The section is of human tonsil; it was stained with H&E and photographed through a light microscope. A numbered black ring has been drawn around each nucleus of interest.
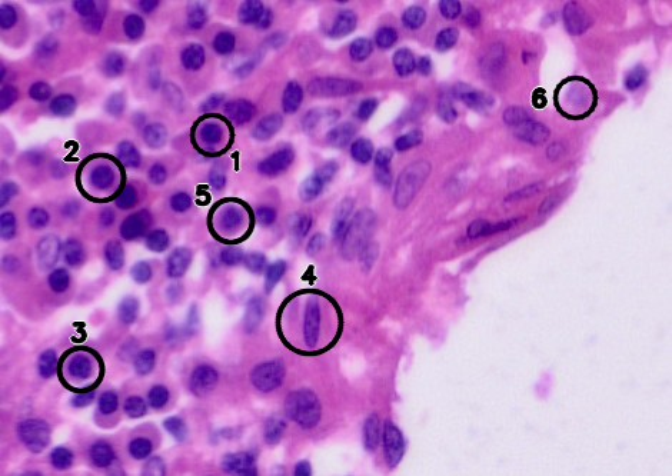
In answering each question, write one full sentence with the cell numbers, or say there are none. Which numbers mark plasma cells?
Classified as plasma cells are the cells numbered 1, 2, 3 and 5.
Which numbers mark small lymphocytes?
The numbered cells are all of types other than small lymphocytes.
